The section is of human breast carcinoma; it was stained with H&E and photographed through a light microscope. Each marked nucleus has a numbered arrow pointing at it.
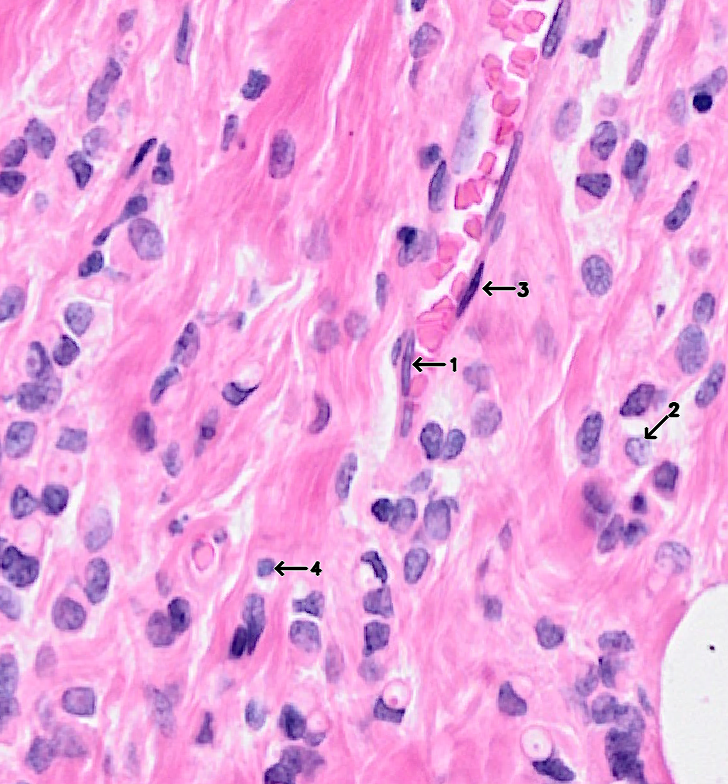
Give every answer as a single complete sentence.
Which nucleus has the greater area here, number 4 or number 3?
Nucleus 3 is larger, with an area about 2.5 times that of nucleus 4.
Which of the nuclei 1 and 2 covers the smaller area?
Nucleus 2 is the smaller one; nucleus 1 covers about 1.5 times its area.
